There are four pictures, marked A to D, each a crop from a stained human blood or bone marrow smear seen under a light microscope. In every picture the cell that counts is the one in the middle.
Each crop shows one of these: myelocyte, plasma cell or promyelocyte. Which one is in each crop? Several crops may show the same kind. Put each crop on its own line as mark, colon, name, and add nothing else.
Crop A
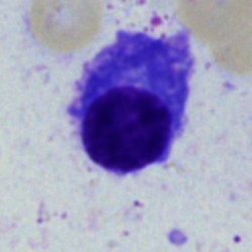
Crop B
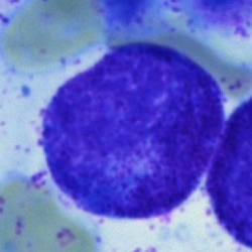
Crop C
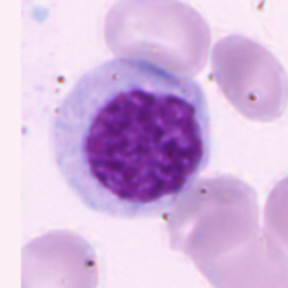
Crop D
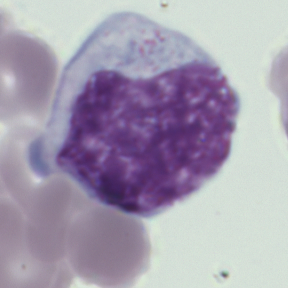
A: plasma cell
B: promyelocyte
C: myelocyte
D: promyelocyte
